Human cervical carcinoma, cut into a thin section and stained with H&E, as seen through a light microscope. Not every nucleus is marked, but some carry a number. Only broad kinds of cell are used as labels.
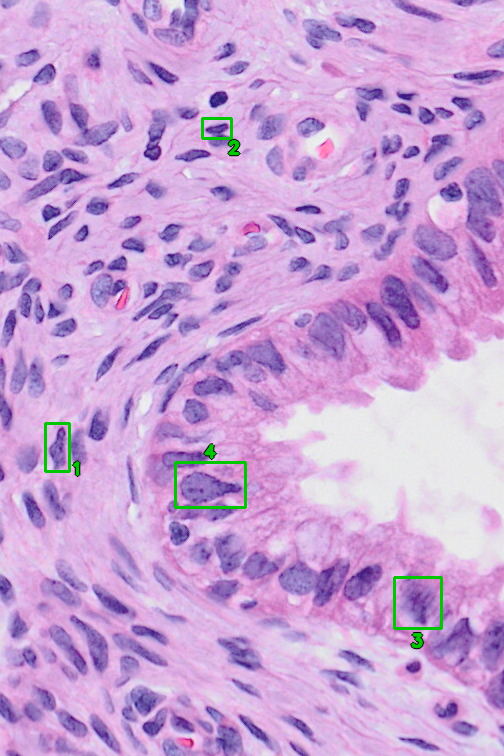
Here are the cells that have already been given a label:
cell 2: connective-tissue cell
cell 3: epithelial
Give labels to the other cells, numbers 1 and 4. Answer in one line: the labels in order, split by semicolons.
connective-tissue cell; epithelial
